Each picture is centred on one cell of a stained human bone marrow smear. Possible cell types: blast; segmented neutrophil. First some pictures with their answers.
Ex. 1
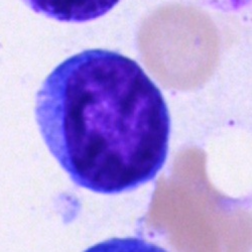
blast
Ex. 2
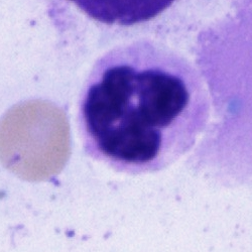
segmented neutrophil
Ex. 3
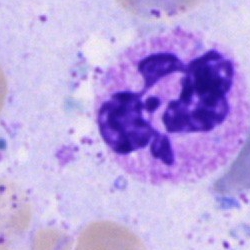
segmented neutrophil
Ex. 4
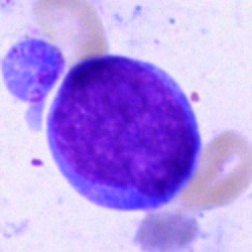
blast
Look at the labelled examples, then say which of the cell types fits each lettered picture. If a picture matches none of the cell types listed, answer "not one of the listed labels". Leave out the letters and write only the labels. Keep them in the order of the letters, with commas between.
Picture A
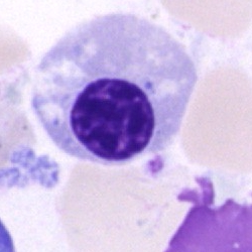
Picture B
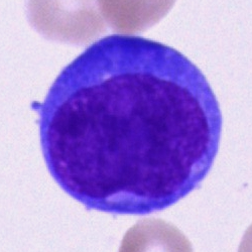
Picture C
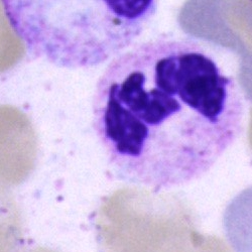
not one of the listed labels, blast, segmented neutrophil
